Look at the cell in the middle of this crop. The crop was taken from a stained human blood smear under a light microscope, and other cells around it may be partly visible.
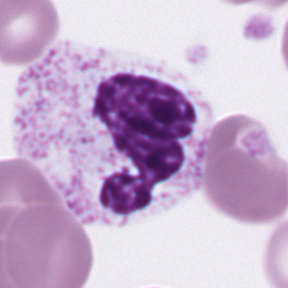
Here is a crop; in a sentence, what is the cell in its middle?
For this crop, the central cell is a segmented neutrophil.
